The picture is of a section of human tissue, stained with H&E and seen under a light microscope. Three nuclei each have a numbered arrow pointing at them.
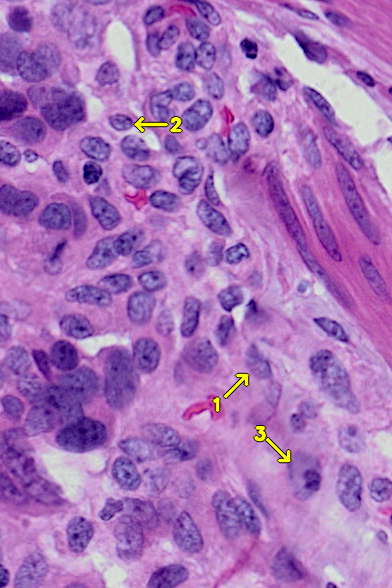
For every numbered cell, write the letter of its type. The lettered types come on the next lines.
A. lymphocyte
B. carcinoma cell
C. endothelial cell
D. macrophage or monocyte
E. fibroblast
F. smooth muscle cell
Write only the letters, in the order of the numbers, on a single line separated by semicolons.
E; D; E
